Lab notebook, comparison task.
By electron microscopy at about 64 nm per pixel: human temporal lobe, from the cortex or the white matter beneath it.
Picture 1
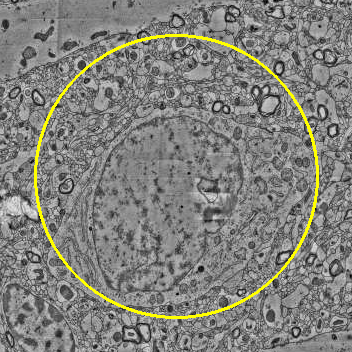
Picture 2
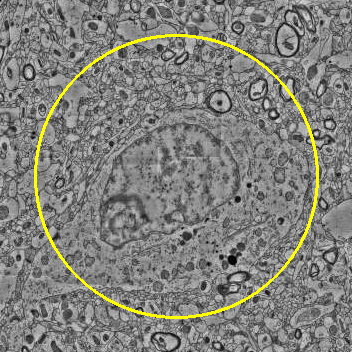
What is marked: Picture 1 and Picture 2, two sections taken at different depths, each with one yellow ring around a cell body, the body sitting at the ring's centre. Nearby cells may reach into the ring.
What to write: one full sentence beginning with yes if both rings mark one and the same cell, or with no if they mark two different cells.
Yes, the same cell appears within both yellow rings.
